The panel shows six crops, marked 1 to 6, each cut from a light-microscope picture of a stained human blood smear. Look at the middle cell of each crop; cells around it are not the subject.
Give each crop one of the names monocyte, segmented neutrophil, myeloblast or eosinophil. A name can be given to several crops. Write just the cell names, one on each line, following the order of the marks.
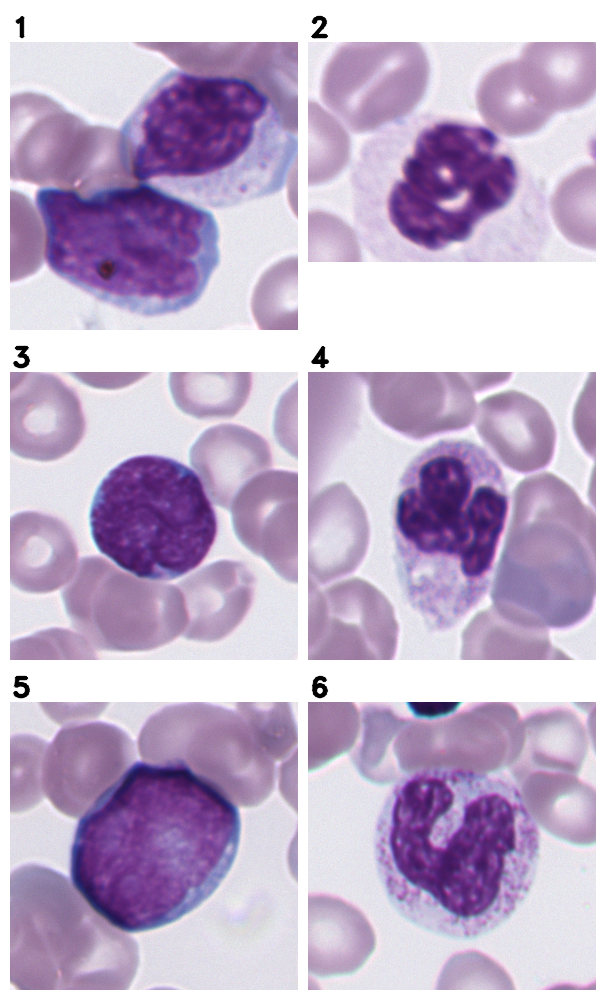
myeloblast
segmented neutrophil
myeloblast
segmented neutrophil
myeloblast
segmented neutrophil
